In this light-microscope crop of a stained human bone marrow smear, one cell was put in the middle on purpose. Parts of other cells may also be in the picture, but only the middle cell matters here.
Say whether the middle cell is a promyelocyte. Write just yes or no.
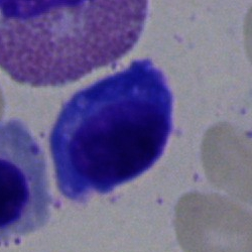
no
